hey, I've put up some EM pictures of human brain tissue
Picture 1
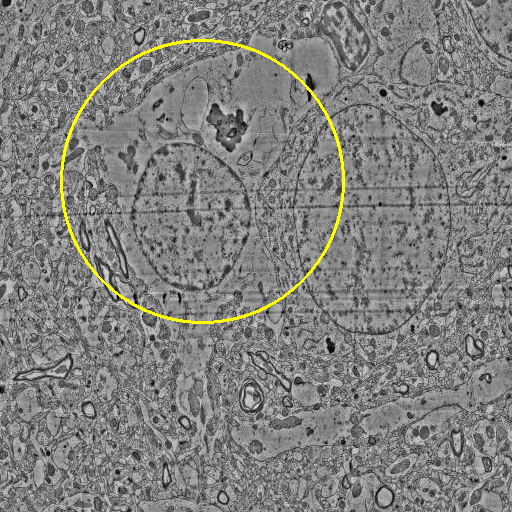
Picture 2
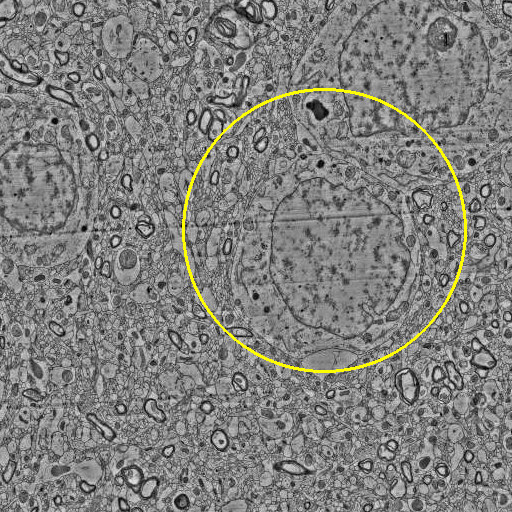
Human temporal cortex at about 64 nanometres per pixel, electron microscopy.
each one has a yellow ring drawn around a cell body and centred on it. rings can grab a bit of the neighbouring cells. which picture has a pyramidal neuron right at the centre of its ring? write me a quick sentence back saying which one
It's Picture 2.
